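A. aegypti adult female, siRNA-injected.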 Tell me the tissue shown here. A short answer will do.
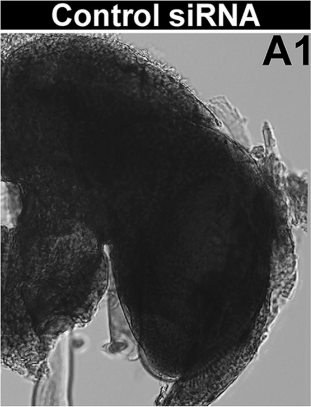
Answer: brain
